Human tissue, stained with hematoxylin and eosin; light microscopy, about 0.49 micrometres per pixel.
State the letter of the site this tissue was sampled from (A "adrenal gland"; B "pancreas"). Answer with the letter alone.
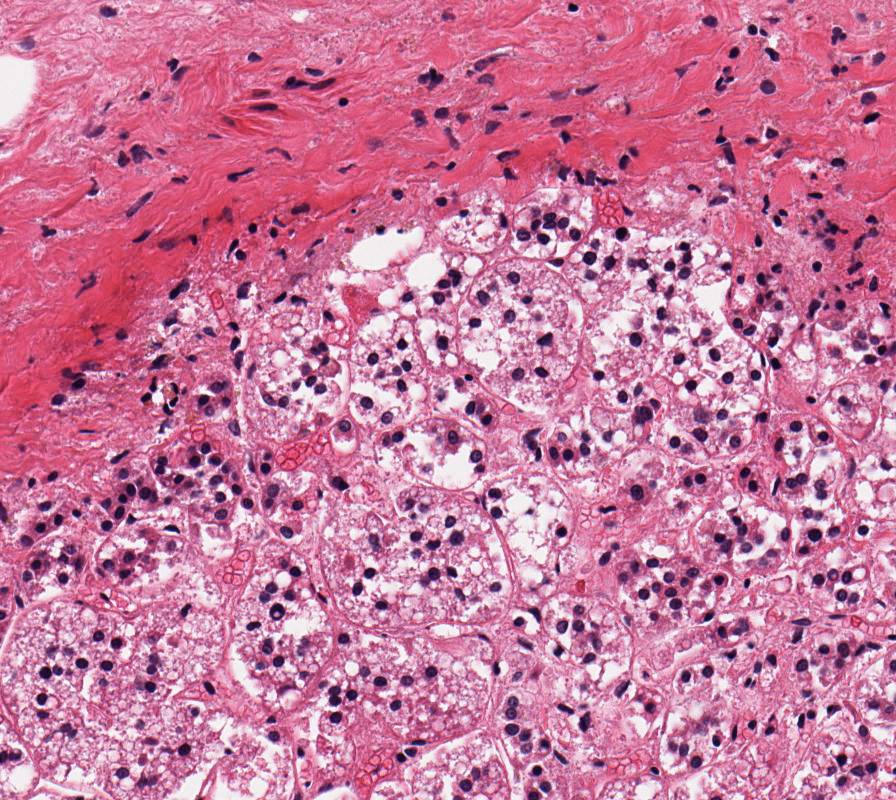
A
